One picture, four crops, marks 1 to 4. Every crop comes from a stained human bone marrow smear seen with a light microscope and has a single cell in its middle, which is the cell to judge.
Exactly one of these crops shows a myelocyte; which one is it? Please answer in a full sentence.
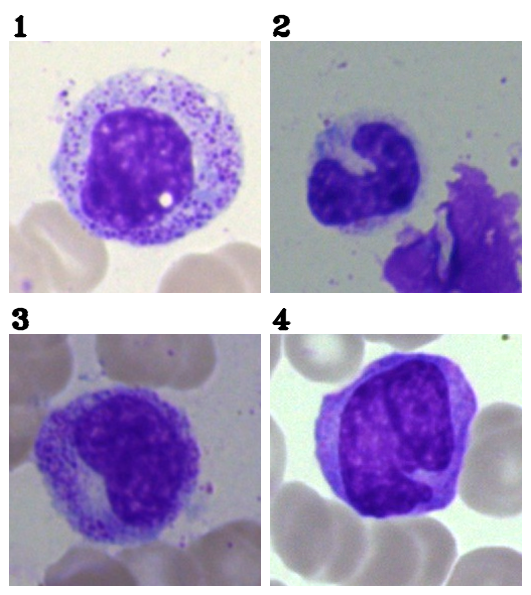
The correct choice is crop 1, the one showing a myelocyte.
